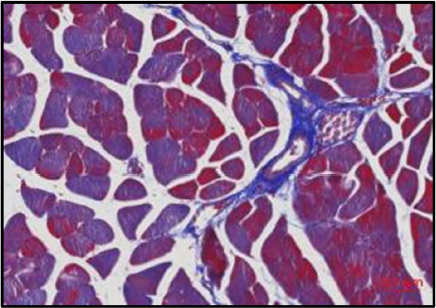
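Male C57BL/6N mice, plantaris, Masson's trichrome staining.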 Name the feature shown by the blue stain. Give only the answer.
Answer: Extracellular matrix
